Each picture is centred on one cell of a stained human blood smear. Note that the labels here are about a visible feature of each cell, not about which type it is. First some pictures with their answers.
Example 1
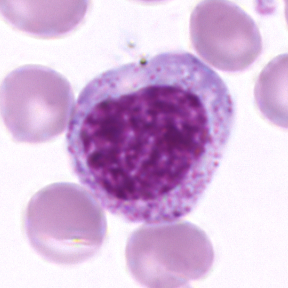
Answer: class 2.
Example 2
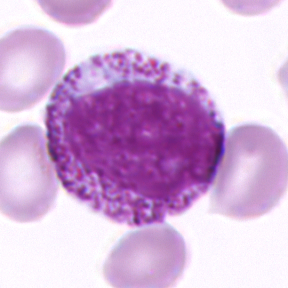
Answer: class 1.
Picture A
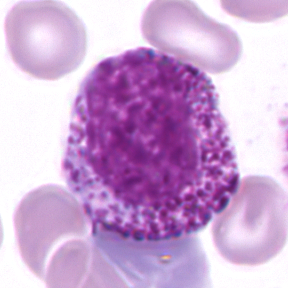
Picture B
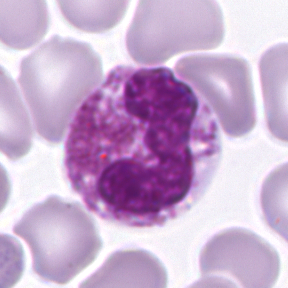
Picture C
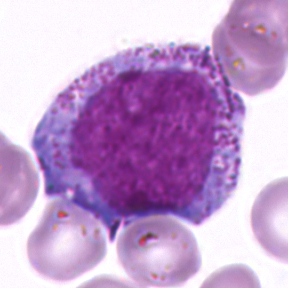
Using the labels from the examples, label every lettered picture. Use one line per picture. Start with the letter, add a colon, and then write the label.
A: class 1.
B: class 2.
C: class 2.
